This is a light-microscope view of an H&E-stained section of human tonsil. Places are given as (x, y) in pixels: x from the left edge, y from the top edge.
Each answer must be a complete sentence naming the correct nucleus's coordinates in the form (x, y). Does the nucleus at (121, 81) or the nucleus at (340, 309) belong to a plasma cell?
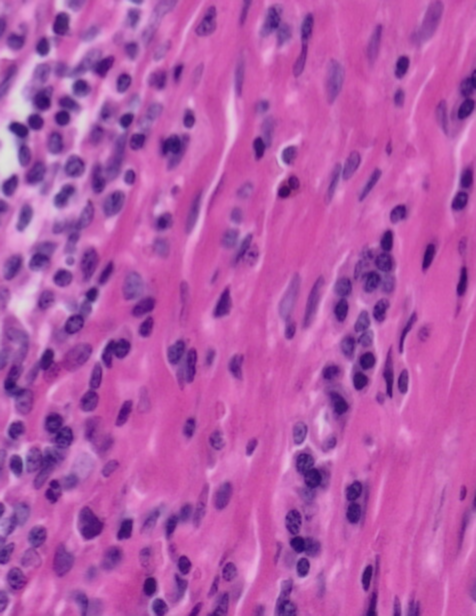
Rather than the other nucleus, the one at (340, 309) belongs to a plasma cell.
